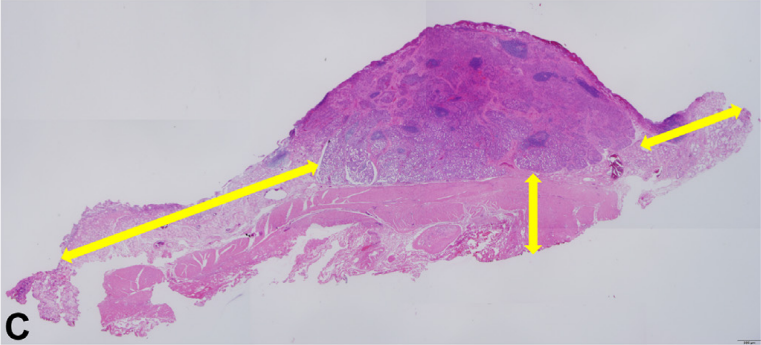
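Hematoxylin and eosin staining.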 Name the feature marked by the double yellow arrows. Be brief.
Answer: Horizontal and vertical margins.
